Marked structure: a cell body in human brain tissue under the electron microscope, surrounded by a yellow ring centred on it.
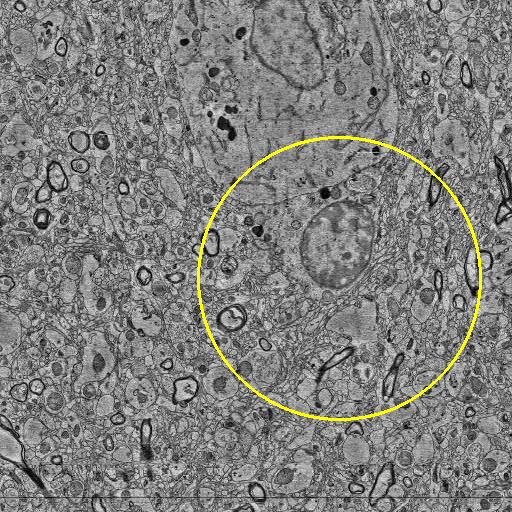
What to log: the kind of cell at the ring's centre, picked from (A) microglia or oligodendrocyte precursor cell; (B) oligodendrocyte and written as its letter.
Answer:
B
